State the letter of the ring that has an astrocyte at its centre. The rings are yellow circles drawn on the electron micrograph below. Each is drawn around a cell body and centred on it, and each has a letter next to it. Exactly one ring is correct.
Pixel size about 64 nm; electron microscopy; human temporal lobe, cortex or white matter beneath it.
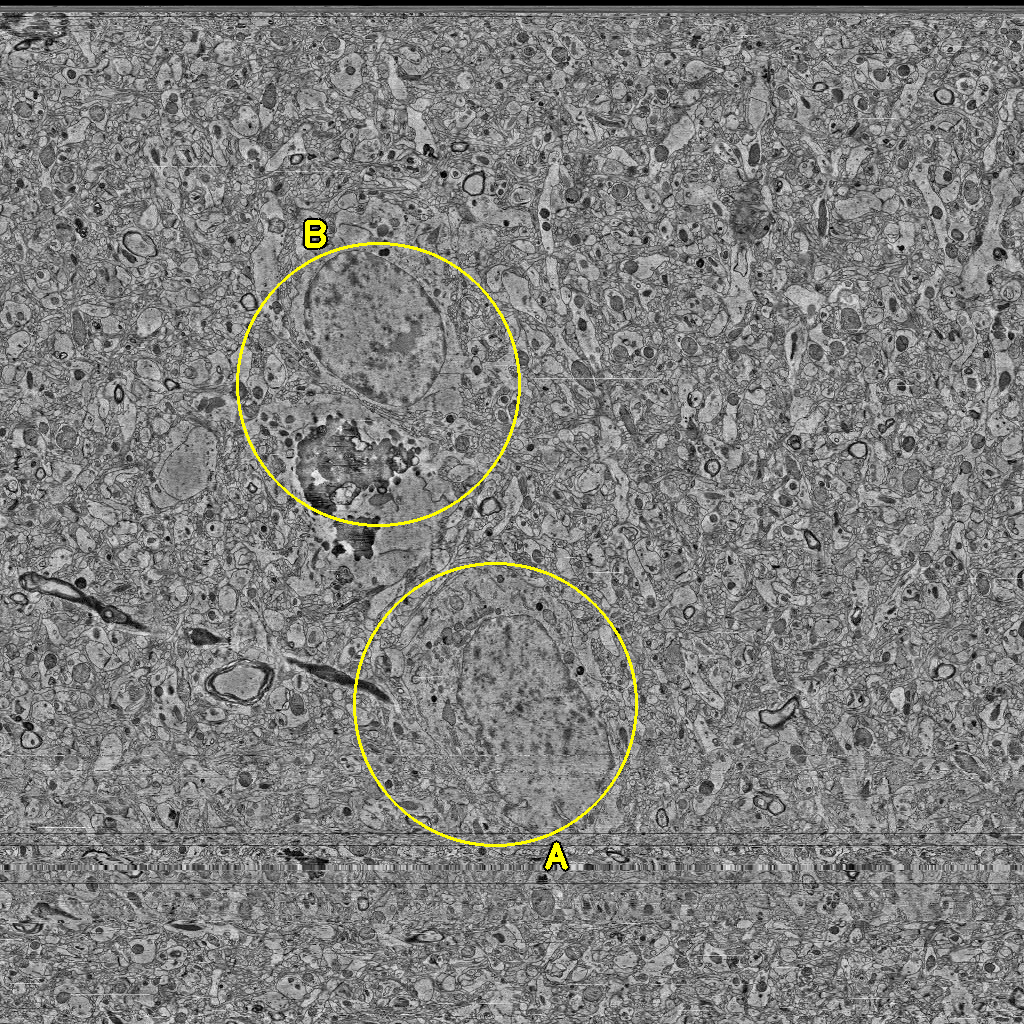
B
